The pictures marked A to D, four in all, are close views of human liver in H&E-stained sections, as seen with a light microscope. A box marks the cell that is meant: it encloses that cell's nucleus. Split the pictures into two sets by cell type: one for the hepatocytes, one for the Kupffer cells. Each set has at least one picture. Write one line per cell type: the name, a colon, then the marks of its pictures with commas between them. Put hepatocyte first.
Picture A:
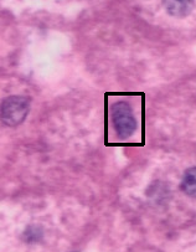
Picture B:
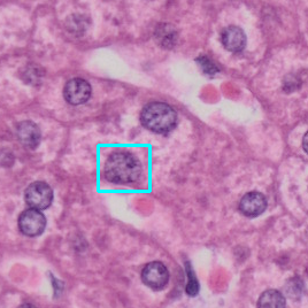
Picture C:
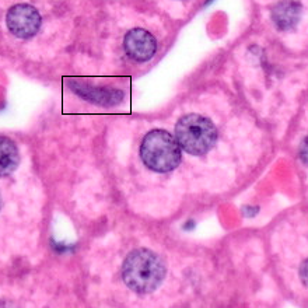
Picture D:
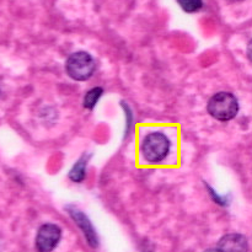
hepatocyte: B, D
Kupffer cell: A, C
